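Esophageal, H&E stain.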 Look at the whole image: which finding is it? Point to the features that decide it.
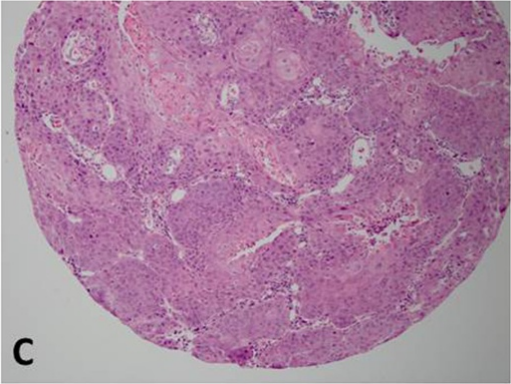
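Irregular nests and sheets of crowded epithelial cells fill the field. Round concentric pink whorls lie within some nests. Narrow strands of stroma with small dark cells run between the nests. That points to this answer: Squamous cell carcinoma.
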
